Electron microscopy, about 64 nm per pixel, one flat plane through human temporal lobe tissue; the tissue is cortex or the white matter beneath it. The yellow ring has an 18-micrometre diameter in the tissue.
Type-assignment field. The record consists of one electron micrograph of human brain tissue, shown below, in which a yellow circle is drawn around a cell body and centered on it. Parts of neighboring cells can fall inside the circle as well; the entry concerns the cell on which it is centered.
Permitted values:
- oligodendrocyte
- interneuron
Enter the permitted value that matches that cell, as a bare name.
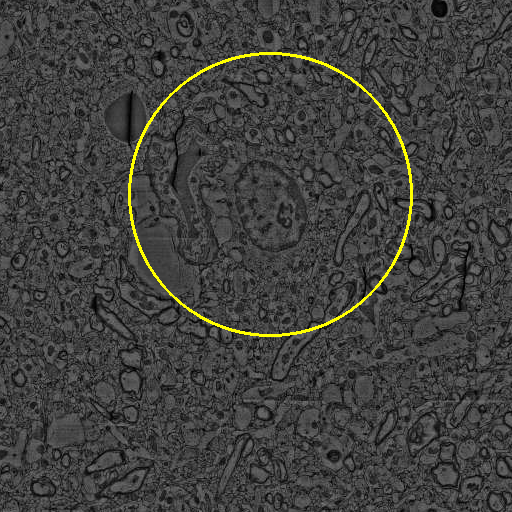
oligodendrocyte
